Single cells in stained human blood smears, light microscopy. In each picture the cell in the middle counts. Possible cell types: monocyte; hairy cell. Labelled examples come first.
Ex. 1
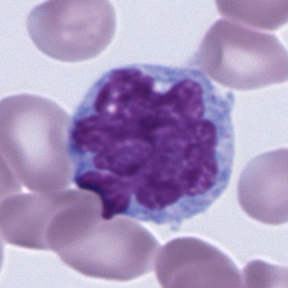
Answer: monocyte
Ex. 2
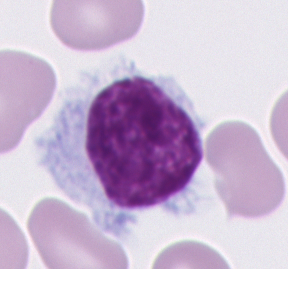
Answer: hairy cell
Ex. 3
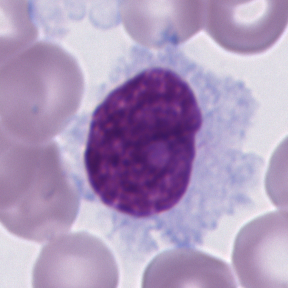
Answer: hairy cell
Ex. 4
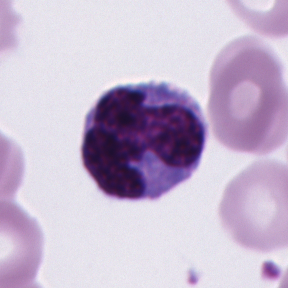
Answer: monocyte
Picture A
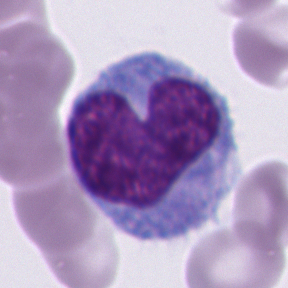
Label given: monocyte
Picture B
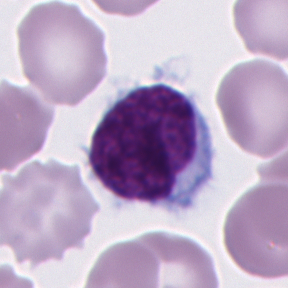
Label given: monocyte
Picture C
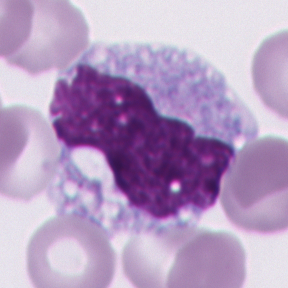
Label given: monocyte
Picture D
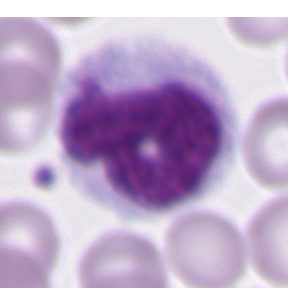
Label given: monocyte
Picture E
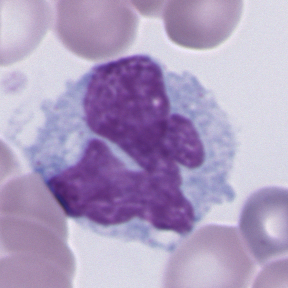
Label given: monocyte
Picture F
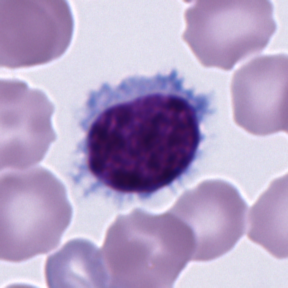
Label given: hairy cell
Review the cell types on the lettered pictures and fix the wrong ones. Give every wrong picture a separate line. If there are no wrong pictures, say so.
B is labelled monocyte; correct label: hairy cell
